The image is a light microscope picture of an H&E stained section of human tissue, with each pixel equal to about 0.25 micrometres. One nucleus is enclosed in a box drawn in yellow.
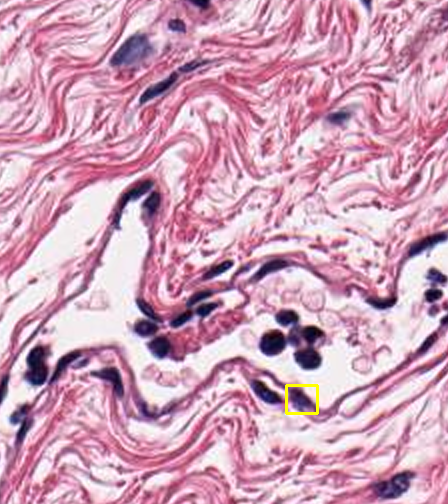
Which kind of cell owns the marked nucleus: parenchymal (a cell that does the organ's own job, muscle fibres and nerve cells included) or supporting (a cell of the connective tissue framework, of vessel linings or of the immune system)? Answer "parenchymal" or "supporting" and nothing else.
supporting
